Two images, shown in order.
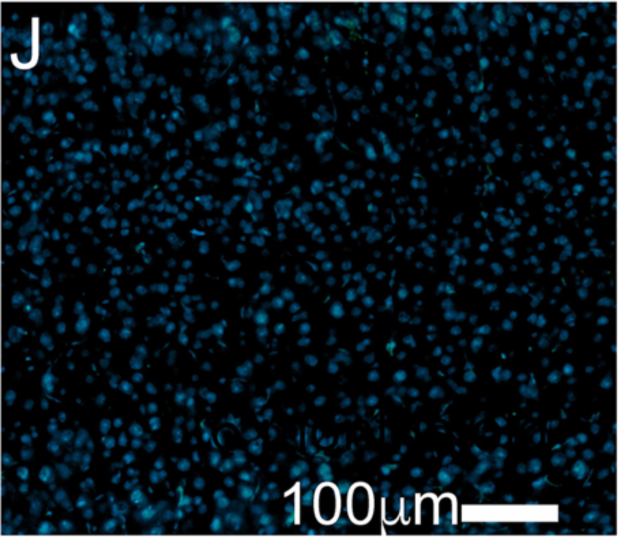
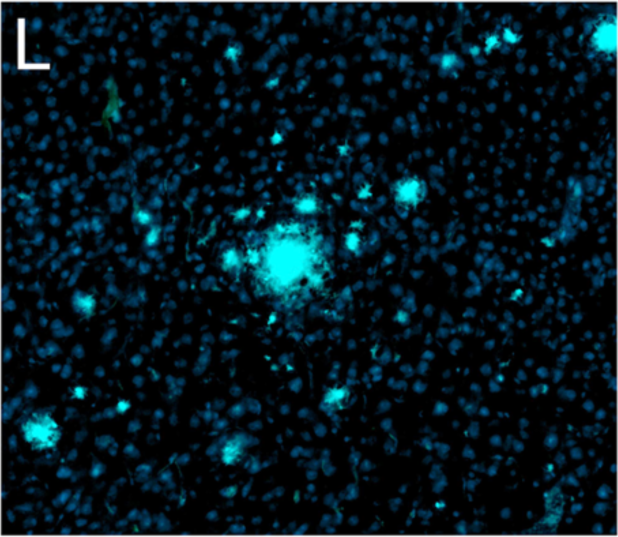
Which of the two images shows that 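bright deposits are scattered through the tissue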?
The second image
